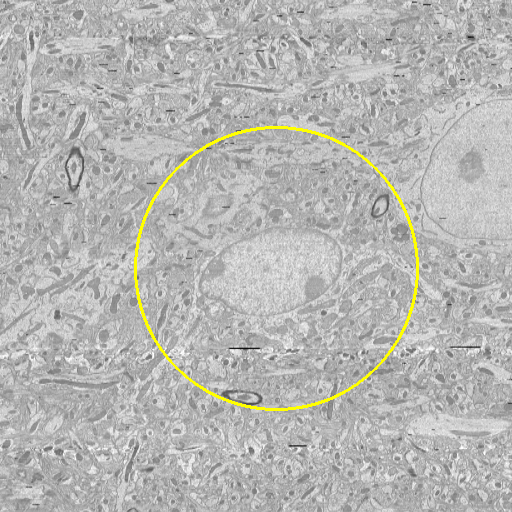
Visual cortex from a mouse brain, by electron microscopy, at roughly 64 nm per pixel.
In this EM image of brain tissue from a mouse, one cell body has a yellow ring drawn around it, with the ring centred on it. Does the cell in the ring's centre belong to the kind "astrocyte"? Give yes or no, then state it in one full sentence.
Yes, in the picture, the cell centred in the yellow ring belongs to that kind.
